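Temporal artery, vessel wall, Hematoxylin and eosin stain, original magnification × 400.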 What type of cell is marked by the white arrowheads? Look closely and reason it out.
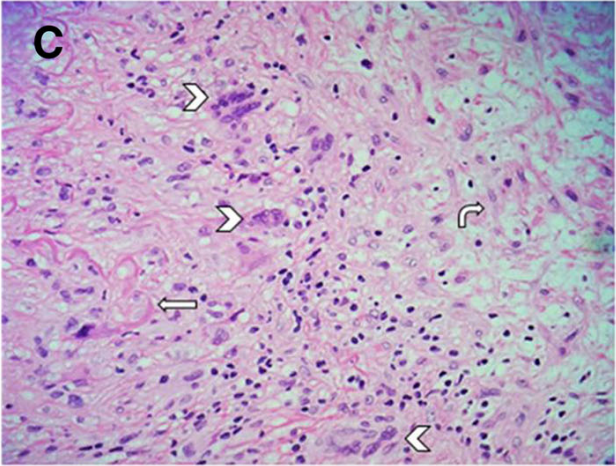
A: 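Multinucleated giant cells. The arrowheads point to large cells with several clustered nuclei. These cells are larger than the surrounding small round cells.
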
